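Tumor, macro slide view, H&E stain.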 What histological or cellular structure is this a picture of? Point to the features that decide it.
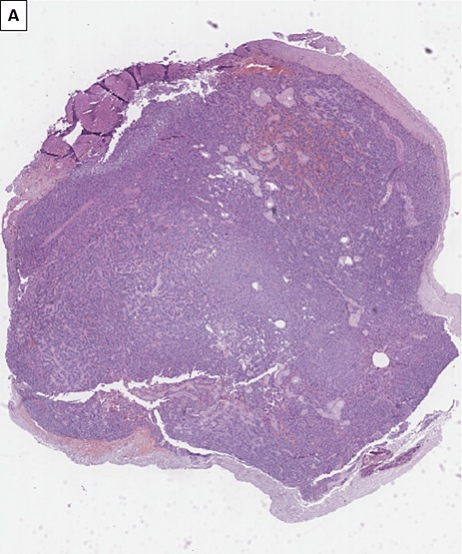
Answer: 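A thin pale pink fibrous rim surrounds the purple cellular nodule.
Encapsulation.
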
